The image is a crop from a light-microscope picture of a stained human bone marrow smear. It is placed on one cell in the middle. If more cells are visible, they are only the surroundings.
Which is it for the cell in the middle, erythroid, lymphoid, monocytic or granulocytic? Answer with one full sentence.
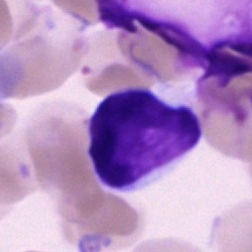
The central cell in this crop is categorized under the lymphoid lineage.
